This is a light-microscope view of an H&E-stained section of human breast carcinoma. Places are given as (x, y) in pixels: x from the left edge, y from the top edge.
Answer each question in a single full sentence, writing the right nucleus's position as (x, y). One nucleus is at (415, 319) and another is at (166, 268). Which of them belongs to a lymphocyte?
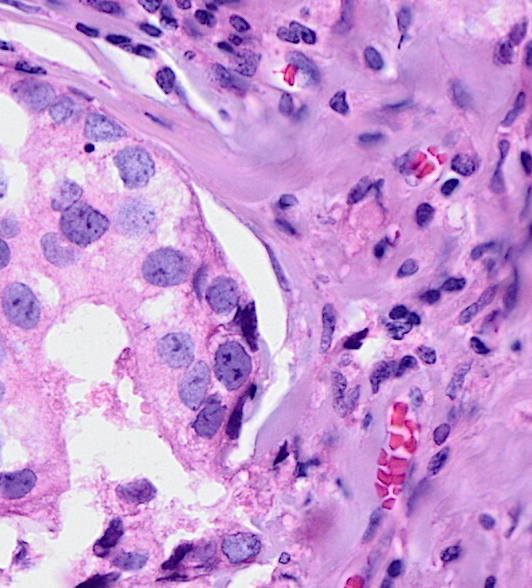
The nucleus positioned at (415, 319) forms part of a lymphocyte.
